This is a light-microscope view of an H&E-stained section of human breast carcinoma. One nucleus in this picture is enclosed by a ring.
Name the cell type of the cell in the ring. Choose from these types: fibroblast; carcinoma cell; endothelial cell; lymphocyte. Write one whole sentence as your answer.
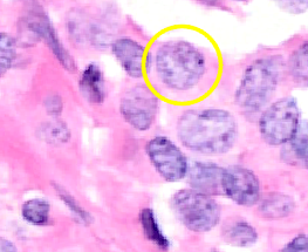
In this field of tissue, the cell in the ring is a carcinoma cell.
